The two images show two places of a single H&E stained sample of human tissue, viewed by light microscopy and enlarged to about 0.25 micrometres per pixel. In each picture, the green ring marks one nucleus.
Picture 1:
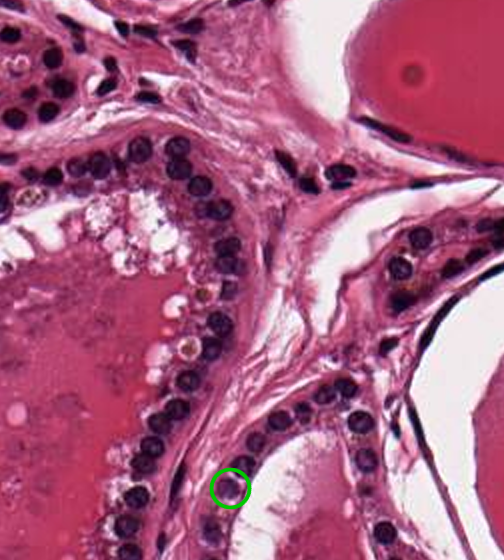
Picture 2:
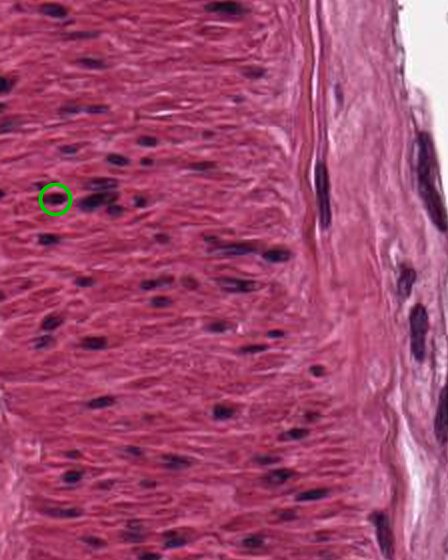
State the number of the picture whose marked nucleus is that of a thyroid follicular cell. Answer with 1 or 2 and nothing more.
1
